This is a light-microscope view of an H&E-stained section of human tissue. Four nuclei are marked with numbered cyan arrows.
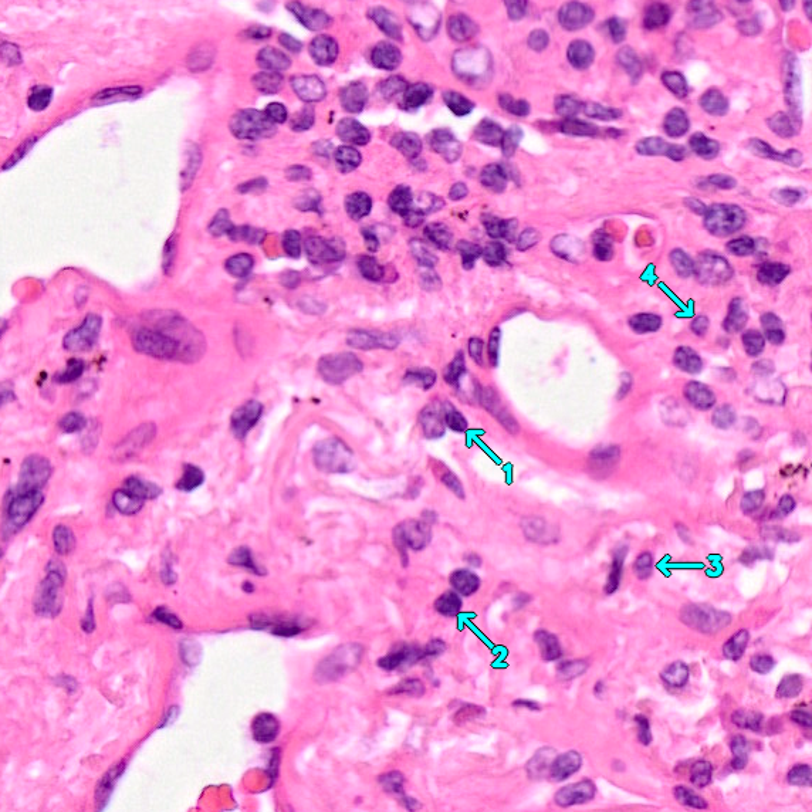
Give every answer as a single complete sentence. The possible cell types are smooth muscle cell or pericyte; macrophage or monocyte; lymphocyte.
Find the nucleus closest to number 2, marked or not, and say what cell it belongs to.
The nucleus nearest to number 2 is that of a lymphocyte.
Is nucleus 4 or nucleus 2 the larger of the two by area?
Nucleus 2 is larger, with an area about 2 times that of nucleus 4.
